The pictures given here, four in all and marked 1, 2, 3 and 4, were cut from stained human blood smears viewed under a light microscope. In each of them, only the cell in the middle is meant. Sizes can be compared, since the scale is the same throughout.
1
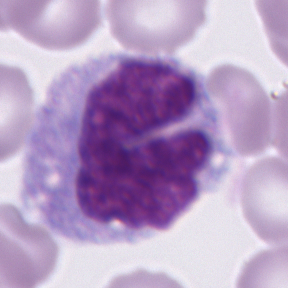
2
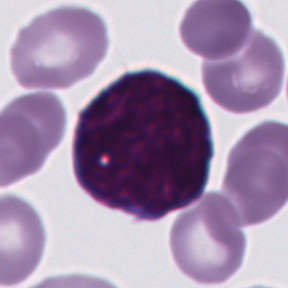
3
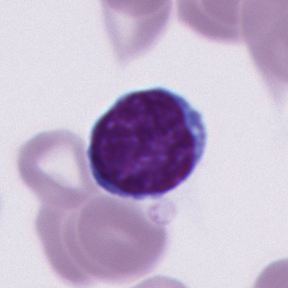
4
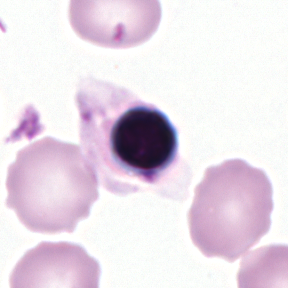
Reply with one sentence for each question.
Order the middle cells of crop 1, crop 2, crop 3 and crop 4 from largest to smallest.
From the largest down, the order is 1, 2, 3, 4.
